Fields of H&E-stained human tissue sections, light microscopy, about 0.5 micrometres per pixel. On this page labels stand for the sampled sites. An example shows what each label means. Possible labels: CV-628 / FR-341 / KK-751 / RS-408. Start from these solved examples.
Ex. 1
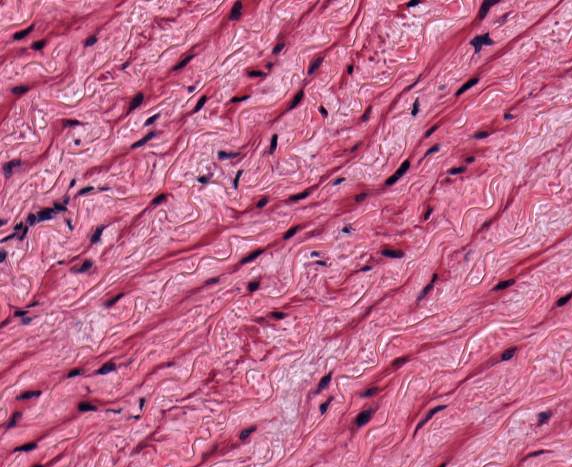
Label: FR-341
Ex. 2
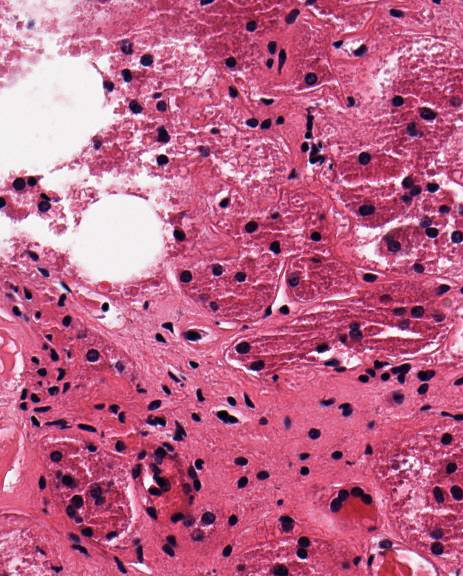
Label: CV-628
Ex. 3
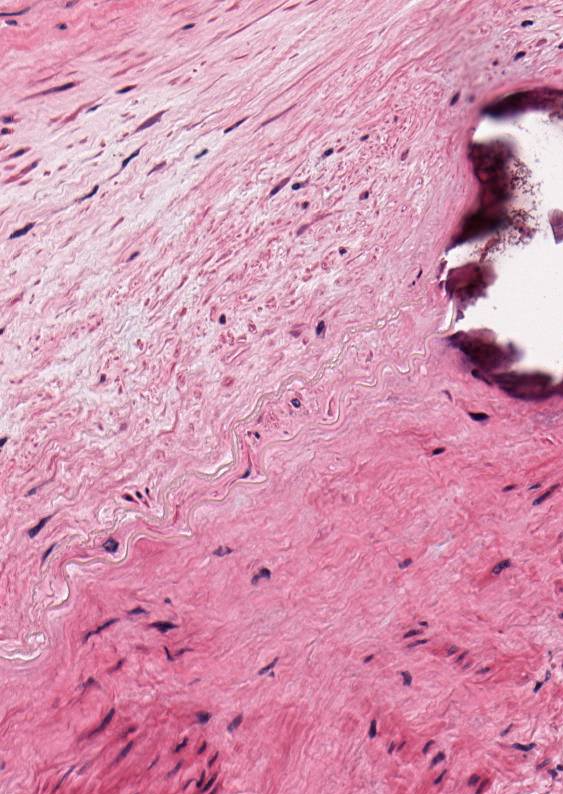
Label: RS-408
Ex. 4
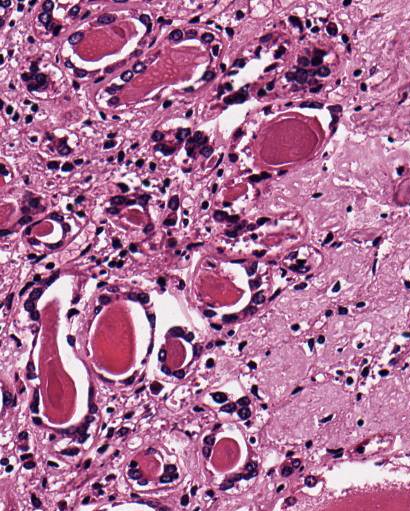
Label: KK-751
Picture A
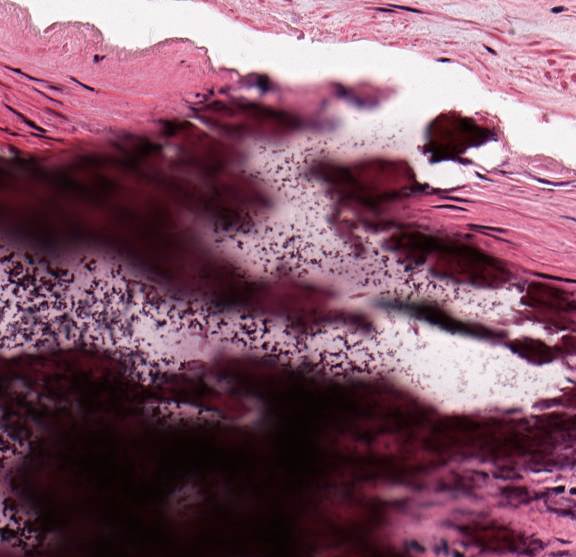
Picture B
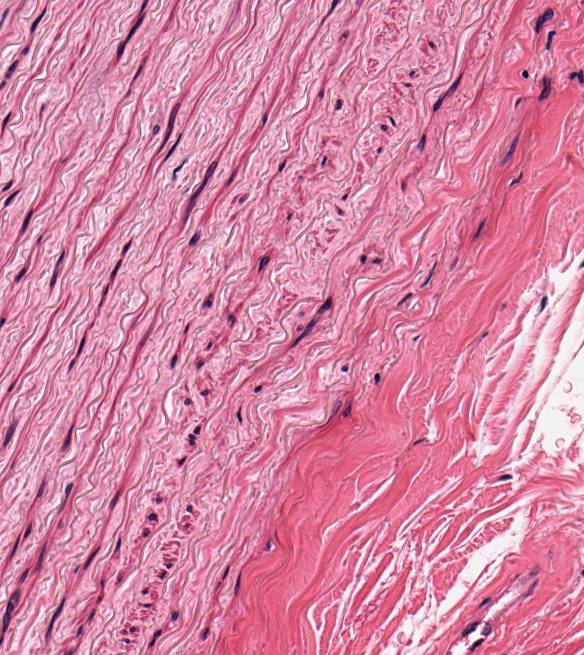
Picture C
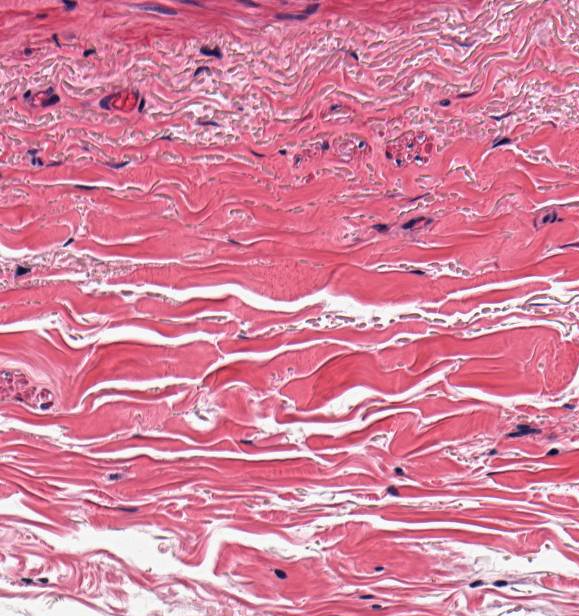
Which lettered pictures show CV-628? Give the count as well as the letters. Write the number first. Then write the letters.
0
